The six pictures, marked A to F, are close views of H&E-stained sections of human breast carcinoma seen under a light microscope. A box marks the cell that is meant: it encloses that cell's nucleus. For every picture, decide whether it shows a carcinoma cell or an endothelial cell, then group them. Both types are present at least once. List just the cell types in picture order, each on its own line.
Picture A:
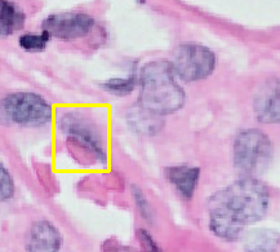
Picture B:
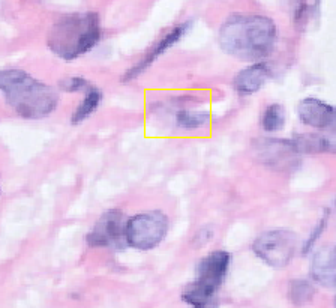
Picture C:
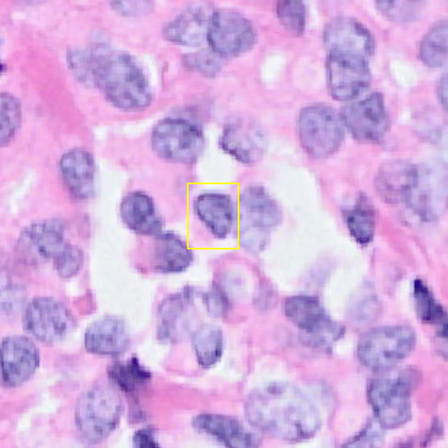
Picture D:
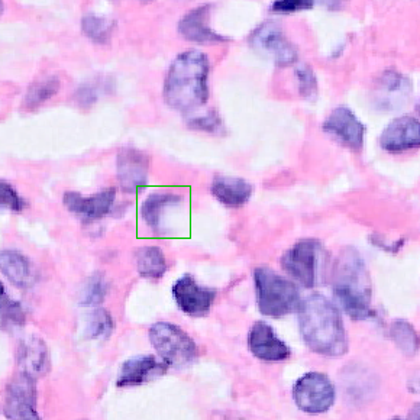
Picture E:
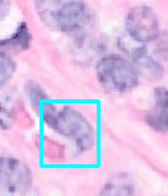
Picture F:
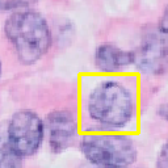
endothelial cell
endothelial cell
carcinoma cell
carcinoma cell
endothelial cell
carcinoma cell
